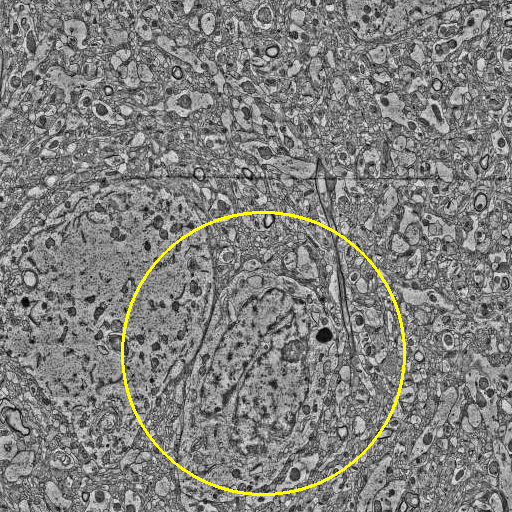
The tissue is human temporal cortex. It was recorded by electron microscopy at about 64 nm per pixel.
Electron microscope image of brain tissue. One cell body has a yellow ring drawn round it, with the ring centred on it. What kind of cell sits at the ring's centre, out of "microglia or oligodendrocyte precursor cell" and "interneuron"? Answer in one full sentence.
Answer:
It is an interneuron whose cell body sits at the centre of the yellow ring.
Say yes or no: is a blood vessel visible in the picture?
No.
